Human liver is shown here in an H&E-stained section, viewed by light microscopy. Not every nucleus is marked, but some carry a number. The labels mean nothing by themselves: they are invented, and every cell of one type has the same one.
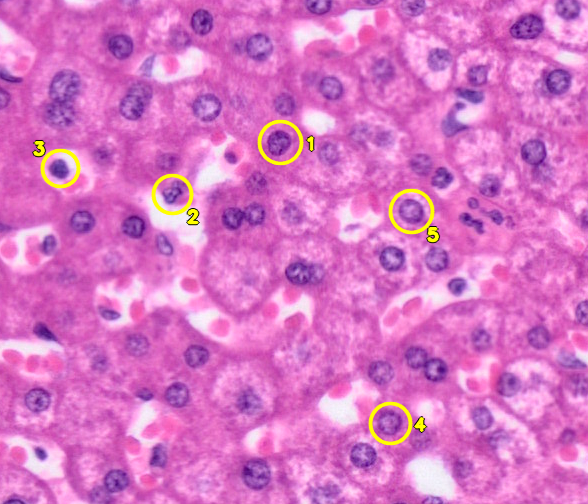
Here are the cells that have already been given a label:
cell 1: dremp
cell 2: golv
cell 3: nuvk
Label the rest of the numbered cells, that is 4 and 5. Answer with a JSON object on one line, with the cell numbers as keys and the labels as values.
{"4": "dremp", "5": "dremp"}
